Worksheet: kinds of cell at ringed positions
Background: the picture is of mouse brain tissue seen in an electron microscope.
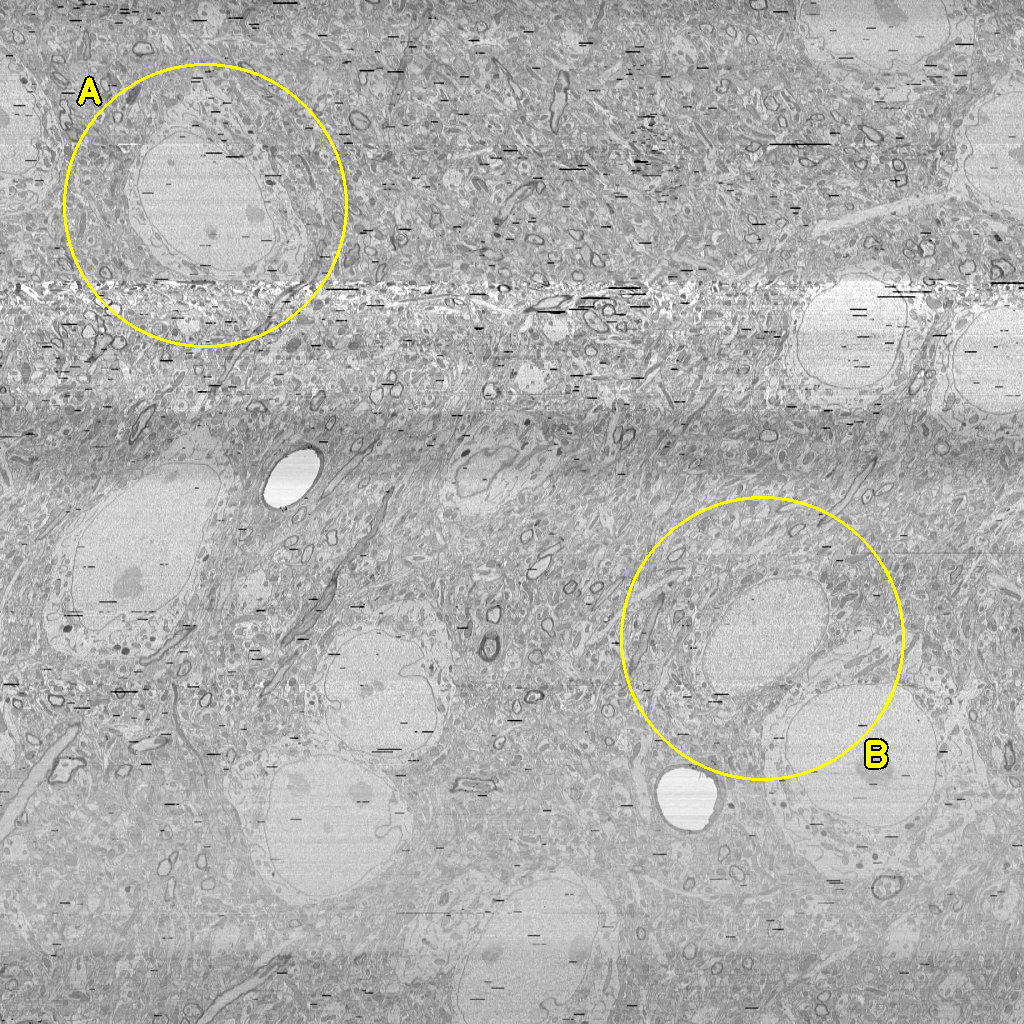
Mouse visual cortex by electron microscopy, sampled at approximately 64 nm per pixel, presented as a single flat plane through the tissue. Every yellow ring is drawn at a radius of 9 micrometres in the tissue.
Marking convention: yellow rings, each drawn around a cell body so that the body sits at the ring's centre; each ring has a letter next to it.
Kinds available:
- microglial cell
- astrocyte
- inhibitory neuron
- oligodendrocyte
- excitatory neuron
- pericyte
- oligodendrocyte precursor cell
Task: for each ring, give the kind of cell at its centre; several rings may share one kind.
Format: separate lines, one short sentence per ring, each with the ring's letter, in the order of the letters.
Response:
Ring A is drawn around an excitatory neuron.
Ring B is drawn around an astrocyte.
